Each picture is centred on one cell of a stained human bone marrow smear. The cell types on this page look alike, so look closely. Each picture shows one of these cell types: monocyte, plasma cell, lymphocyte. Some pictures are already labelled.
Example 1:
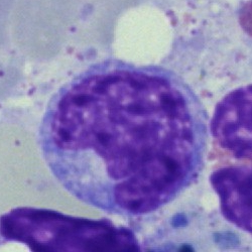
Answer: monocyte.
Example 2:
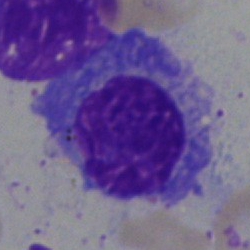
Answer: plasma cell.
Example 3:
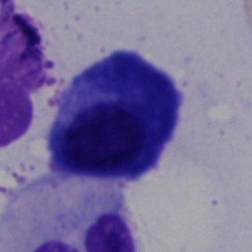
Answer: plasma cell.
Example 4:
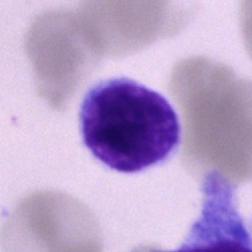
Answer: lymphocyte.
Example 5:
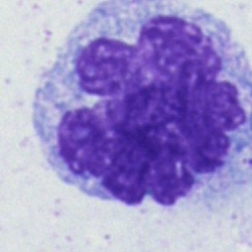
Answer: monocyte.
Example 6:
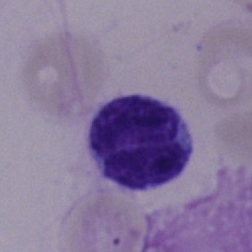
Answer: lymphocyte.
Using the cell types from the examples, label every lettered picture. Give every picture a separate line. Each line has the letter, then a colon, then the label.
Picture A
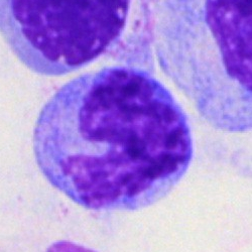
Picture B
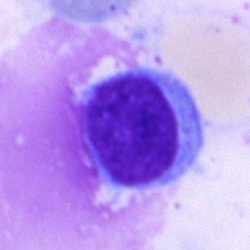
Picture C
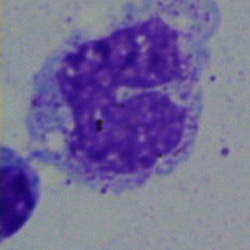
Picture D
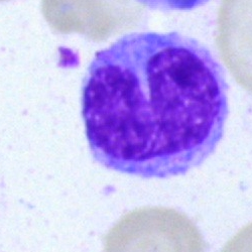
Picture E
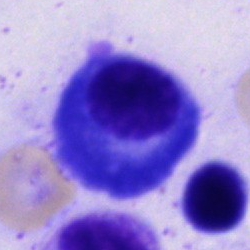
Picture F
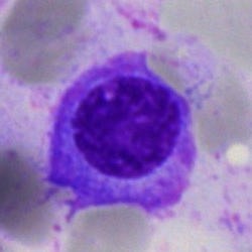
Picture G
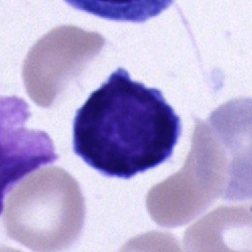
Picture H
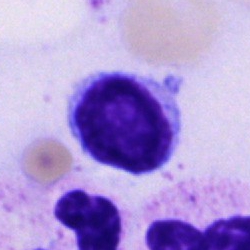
A: monocyte.
B: lymphocyte.
C: monocyte.
D: monocyte.
E: plasma cell.
F: plasma cell.
G: lymphocyte.
H: lymphocyte.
